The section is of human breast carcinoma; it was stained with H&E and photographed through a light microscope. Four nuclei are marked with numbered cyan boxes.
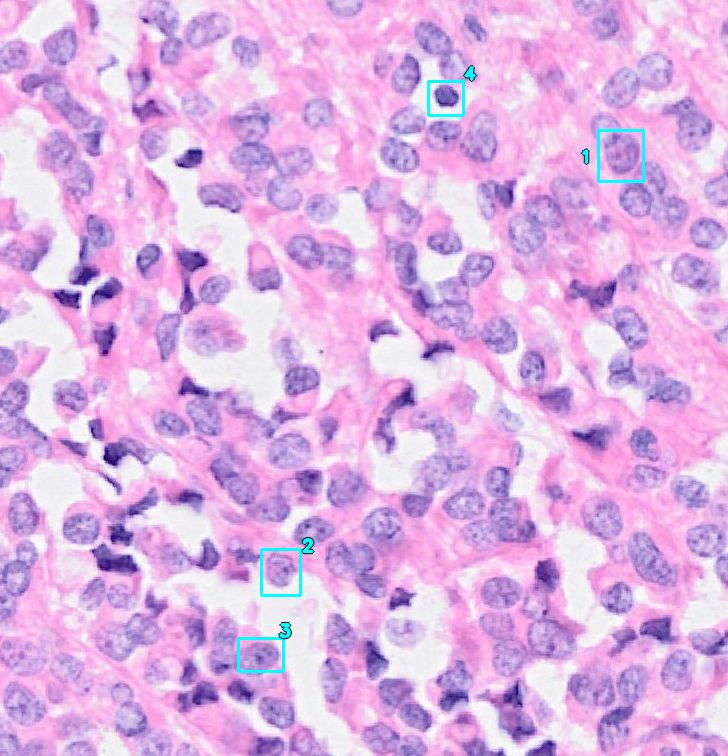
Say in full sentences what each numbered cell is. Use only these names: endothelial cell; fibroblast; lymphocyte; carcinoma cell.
Cells 1, 2 and 3 are carcinoma cells. Cell 4 is a lymphocyte.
